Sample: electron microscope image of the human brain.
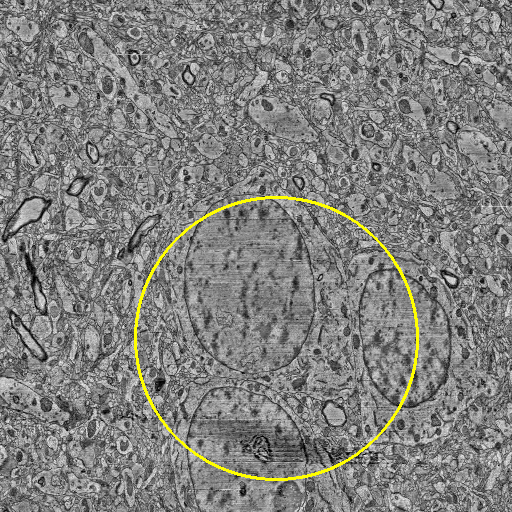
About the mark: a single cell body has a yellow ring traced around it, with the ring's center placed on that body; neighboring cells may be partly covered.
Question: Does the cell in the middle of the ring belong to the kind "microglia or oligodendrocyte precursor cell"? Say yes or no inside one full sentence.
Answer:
No, the cell at the ring's center in this image belongs to a different kind.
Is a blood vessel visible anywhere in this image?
No, there is no blood vessel in the image.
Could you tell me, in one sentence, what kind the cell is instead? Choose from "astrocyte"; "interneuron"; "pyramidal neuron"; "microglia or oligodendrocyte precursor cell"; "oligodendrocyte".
Instead, the ring in this picture marks a pyramidal neuron.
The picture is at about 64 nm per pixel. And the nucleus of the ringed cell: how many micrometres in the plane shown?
In this plane, approximately 12 by 9 micrometers.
